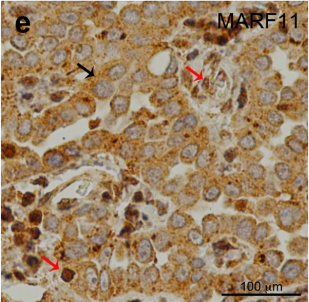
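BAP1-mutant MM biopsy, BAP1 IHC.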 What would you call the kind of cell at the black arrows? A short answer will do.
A: tumor cells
